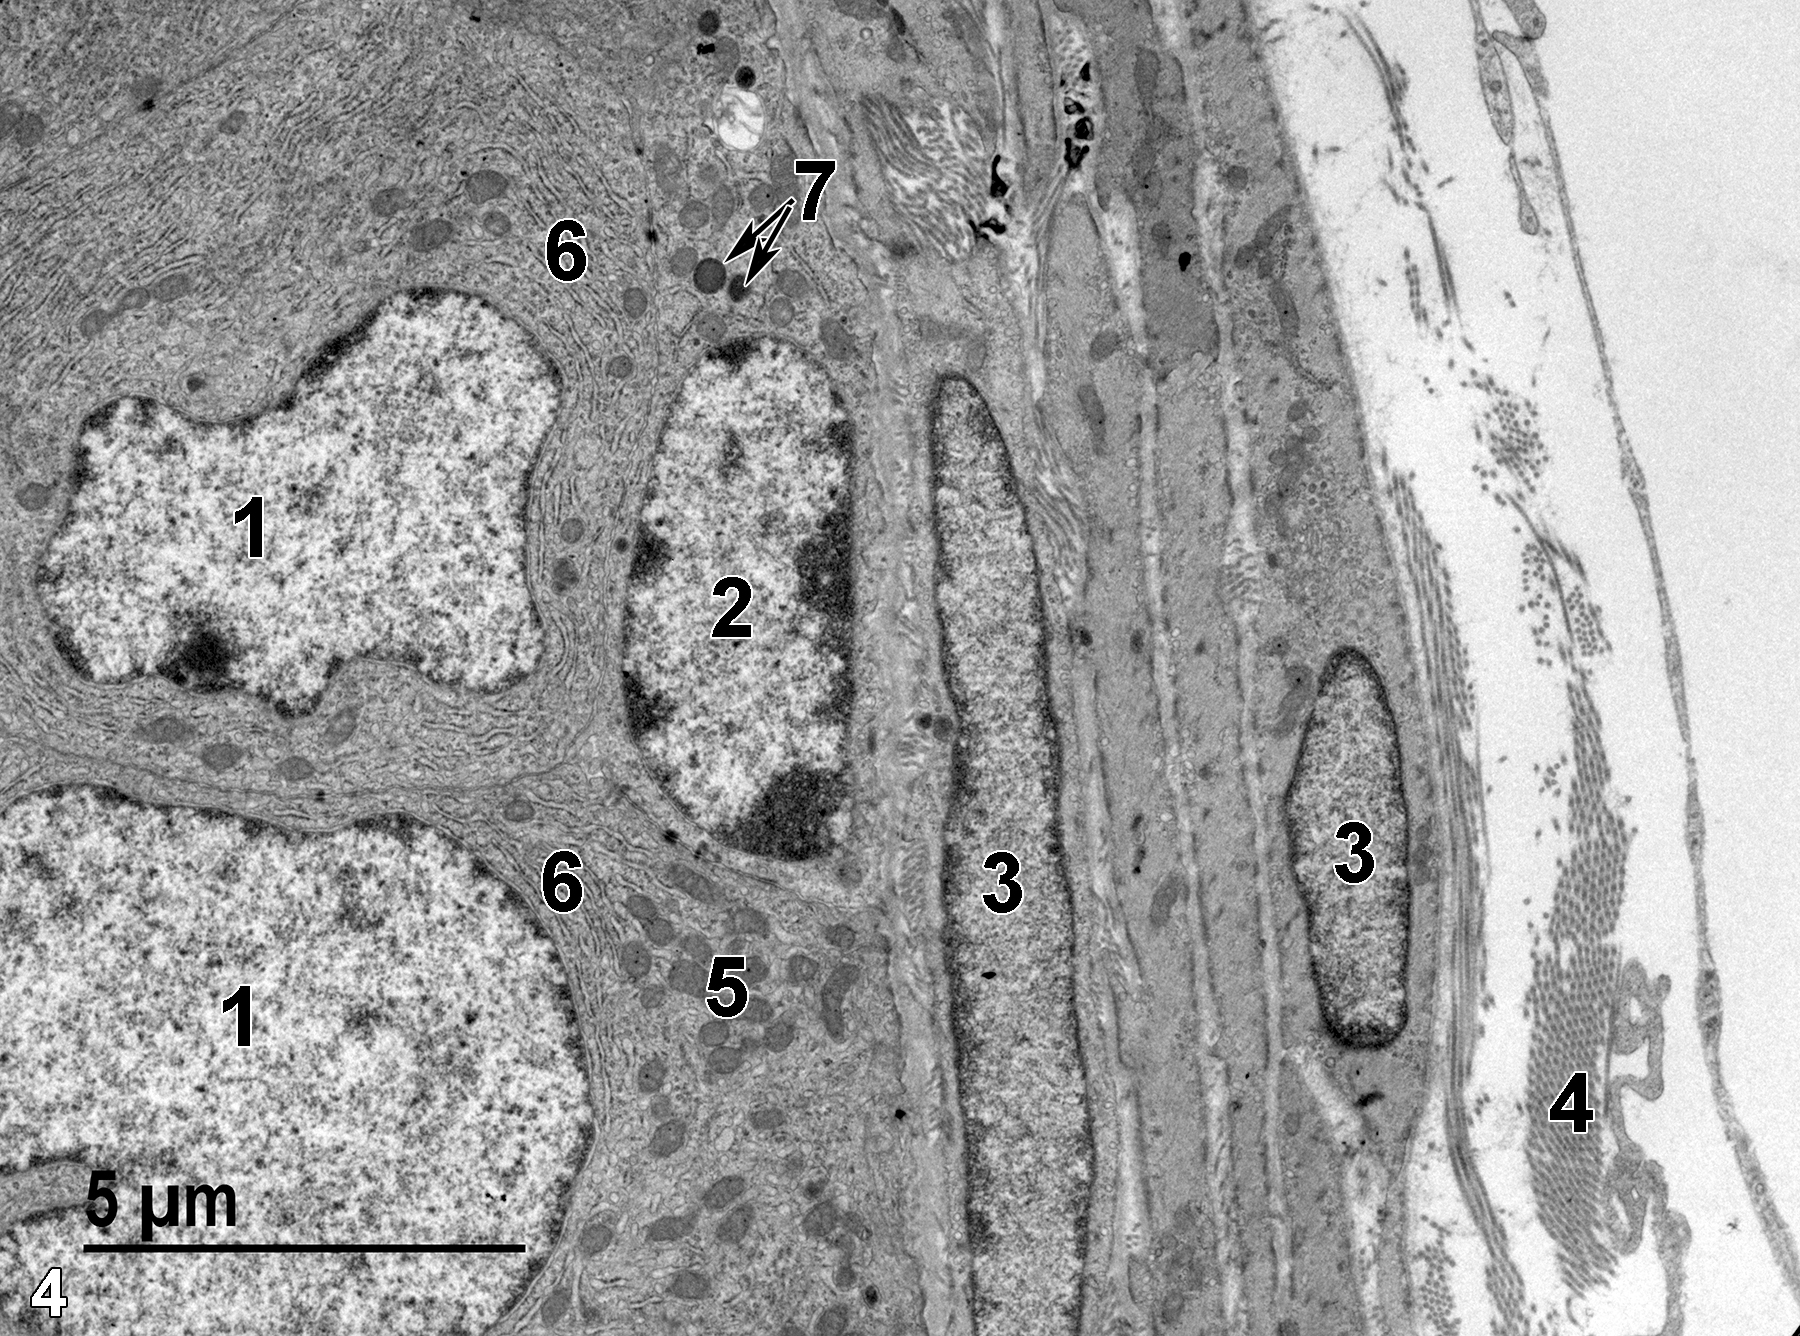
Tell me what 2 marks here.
2 marks the nucleus of a basal epithelial cell.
